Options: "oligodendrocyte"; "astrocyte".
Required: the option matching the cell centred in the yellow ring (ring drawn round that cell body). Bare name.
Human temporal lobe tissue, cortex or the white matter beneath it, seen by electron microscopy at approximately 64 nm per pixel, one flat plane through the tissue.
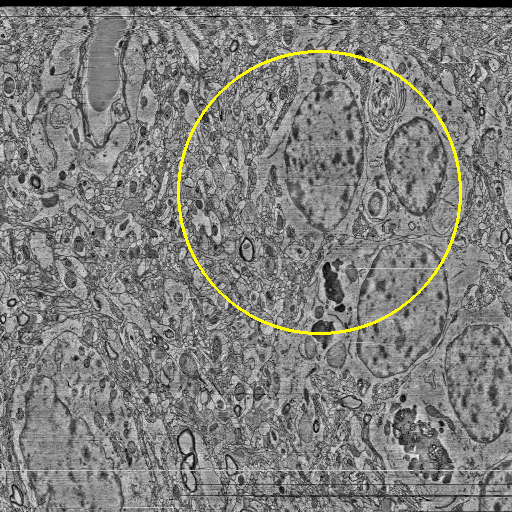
astrocyte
